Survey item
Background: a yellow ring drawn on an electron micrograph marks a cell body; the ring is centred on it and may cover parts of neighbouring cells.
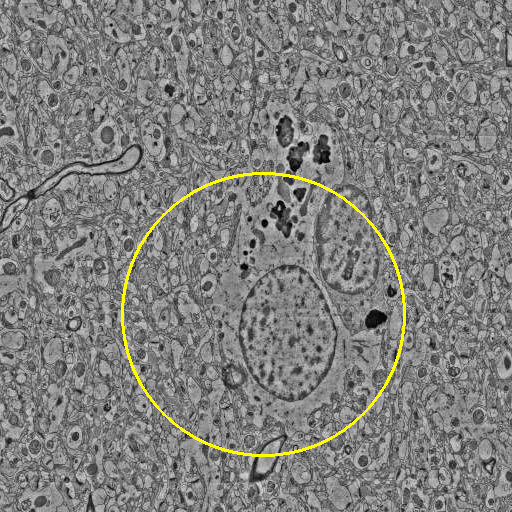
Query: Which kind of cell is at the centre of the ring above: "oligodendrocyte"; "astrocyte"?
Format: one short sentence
The cell in the middle of the ring is an astrocyte.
